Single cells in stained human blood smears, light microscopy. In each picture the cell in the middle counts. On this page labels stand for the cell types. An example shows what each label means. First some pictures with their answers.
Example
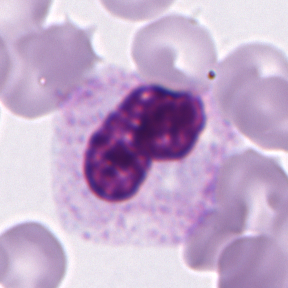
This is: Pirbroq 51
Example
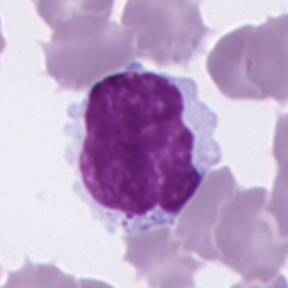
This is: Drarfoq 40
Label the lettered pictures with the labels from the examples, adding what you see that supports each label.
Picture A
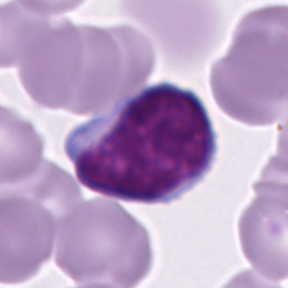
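Answer: Drarfoq 40. The cytoplasm forms only a thin rim, widest at the left end of the cell.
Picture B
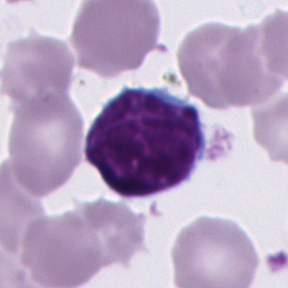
Answer: Drarfoq 40. The nucleus fills almost the whole cell, leaving only a very thin rim of cytoplasm.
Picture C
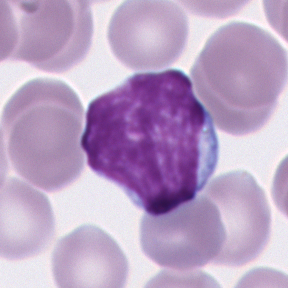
Answer: Drarfoq 40. The cytoplasm forms a narrow crescent mainly on the right side.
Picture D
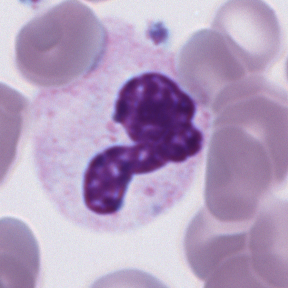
Answer: Pirbroq 51. The cytoplasm is abundant and pale pink.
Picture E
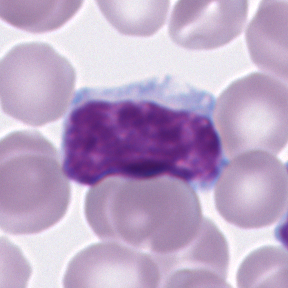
Answer: Drarfoq 40. The cytoplasm is a scant pale blue rim, widest along the upper edge of the cell.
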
